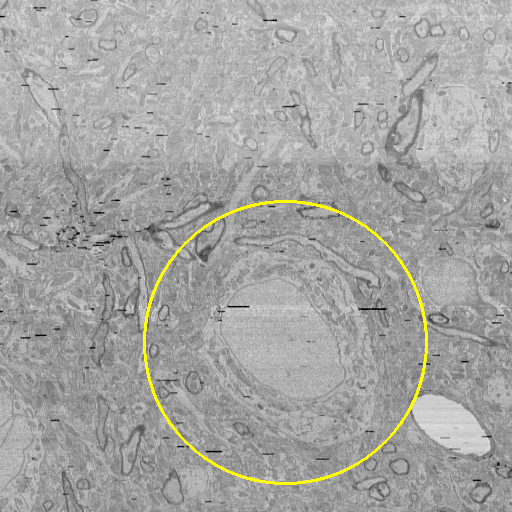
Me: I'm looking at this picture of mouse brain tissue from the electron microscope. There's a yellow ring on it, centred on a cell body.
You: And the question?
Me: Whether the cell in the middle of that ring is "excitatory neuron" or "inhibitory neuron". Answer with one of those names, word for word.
inhibitory neuron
